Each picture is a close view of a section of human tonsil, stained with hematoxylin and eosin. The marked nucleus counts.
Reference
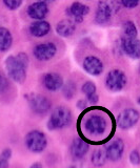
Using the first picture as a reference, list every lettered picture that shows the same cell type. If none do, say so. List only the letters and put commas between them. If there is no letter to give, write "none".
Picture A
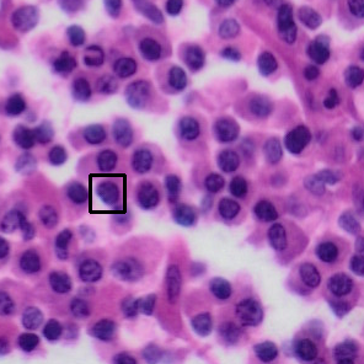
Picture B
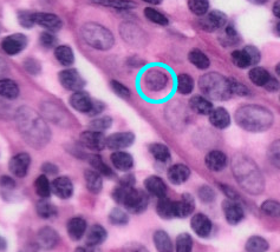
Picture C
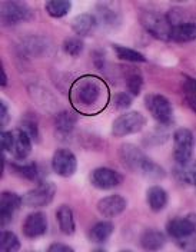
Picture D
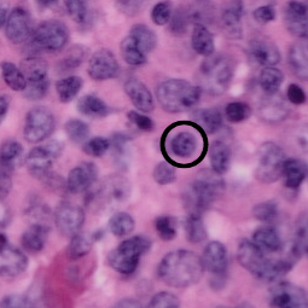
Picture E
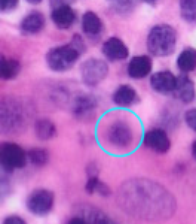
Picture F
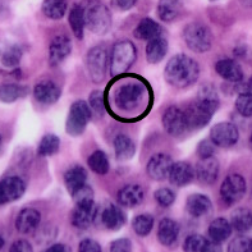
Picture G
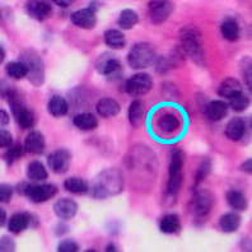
A, F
